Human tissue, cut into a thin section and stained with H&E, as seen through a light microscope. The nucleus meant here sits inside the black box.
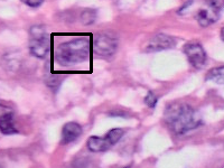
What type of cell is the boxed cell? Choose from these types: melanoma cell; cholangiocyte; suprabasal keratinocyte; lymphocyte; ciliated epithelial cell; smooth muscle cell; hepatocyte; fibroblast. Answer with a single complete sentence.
Speaking plainly, the boxed cell is nothing other than a melanoma cell.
